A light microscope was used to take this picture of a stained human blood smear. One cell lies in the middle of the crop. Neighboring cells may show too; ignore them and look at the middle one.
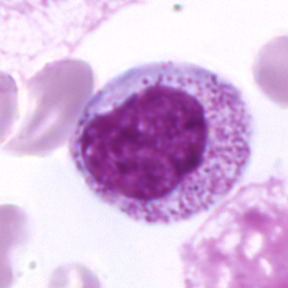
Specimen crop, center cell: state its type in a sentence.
The cell in the middle of the field of view is a metamyelocyte.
